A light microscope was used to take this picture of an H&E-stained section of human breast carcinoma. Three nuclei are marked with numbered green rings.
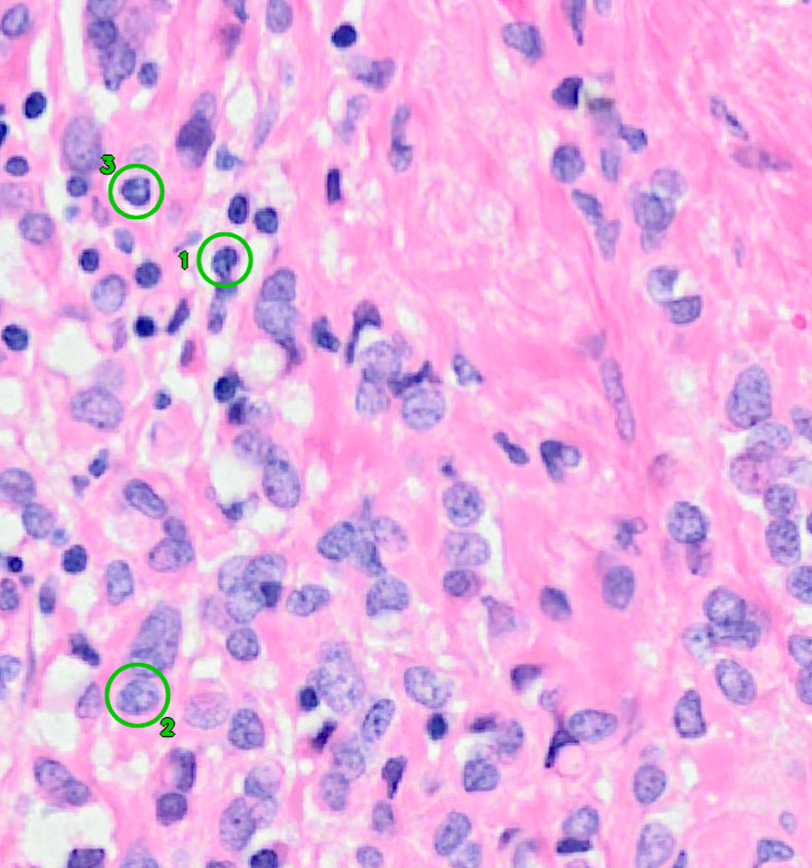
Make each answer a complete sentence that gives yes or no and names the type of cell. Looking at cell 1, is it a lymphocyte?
Yes, the number 1 belongs to a lymphocyte.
